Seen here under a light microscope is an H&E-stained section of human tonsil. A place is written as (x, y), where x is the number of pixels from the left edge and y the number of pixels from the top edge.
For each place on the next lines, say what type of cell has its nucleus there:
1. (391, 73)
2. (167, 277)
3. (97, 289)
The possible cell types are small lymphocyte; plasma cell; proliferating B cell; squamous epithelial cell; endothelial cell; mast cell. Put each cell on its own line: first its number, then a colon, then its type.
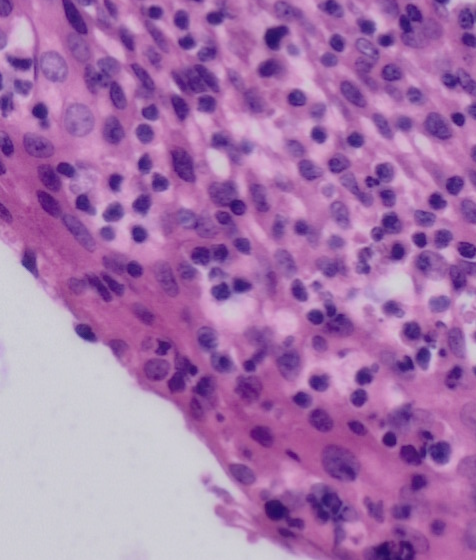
1: plasma cell
2: squamous epithelial cell
3: squamous epithelial cell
